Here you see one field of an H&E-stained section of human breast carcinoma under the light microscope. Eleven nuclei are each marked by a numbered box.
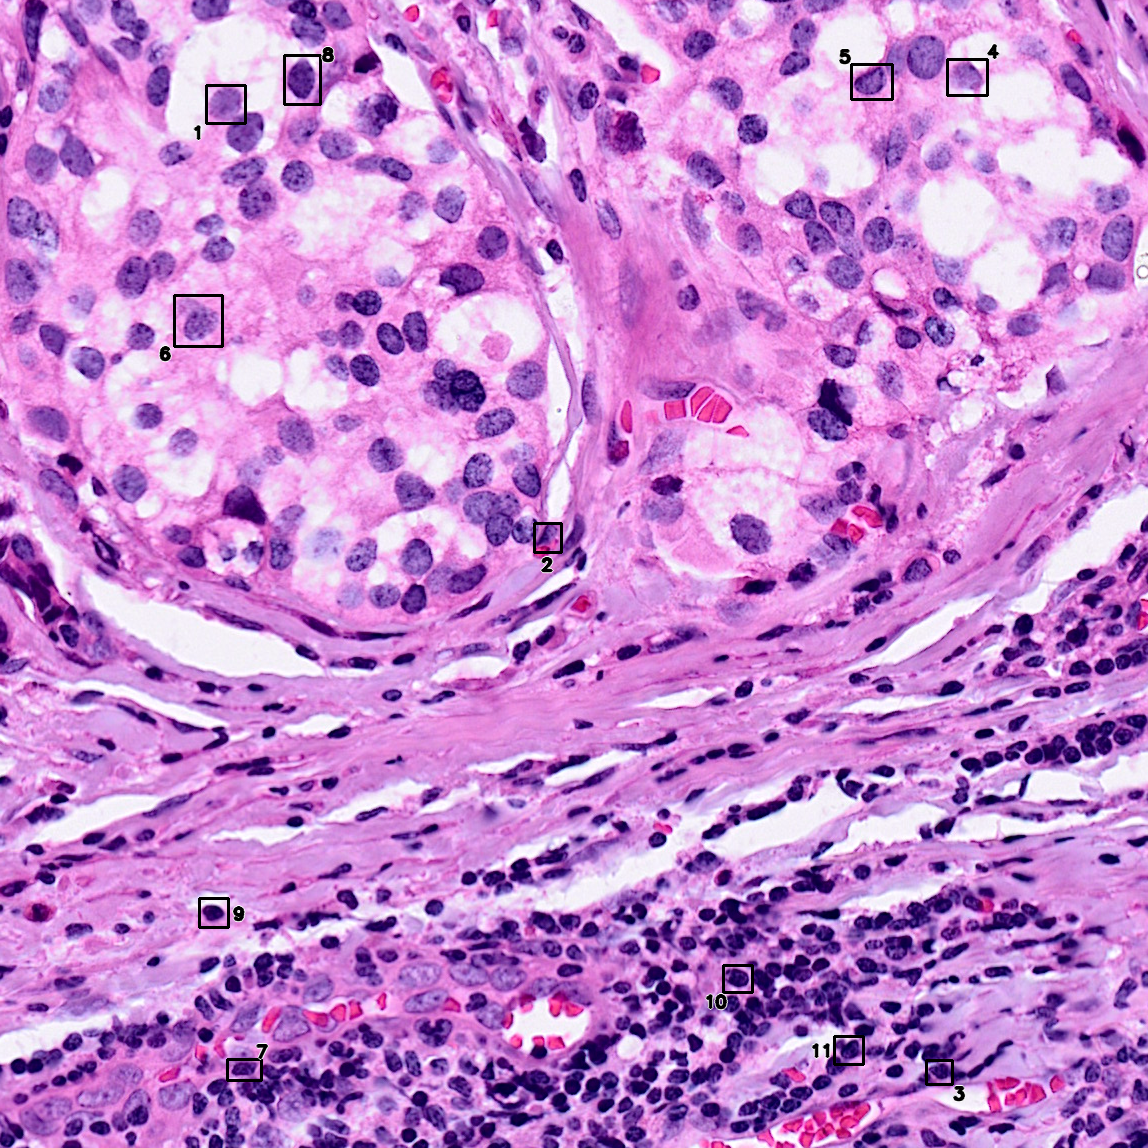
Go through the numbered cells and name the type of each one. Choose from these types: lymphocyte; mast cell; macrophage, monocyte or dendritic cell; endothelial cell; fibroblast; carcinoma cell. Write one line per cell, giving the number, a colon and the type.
1: carcinoma cell
2: endothelial cell
3: lymphocyte
4: carcinoma cell
5: carcinoma cell
6: carcinoma cell
7: lymphocyte
8: carcinoma cell
9: lymphocyte
10: lymphocyte
11: lymphocyte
